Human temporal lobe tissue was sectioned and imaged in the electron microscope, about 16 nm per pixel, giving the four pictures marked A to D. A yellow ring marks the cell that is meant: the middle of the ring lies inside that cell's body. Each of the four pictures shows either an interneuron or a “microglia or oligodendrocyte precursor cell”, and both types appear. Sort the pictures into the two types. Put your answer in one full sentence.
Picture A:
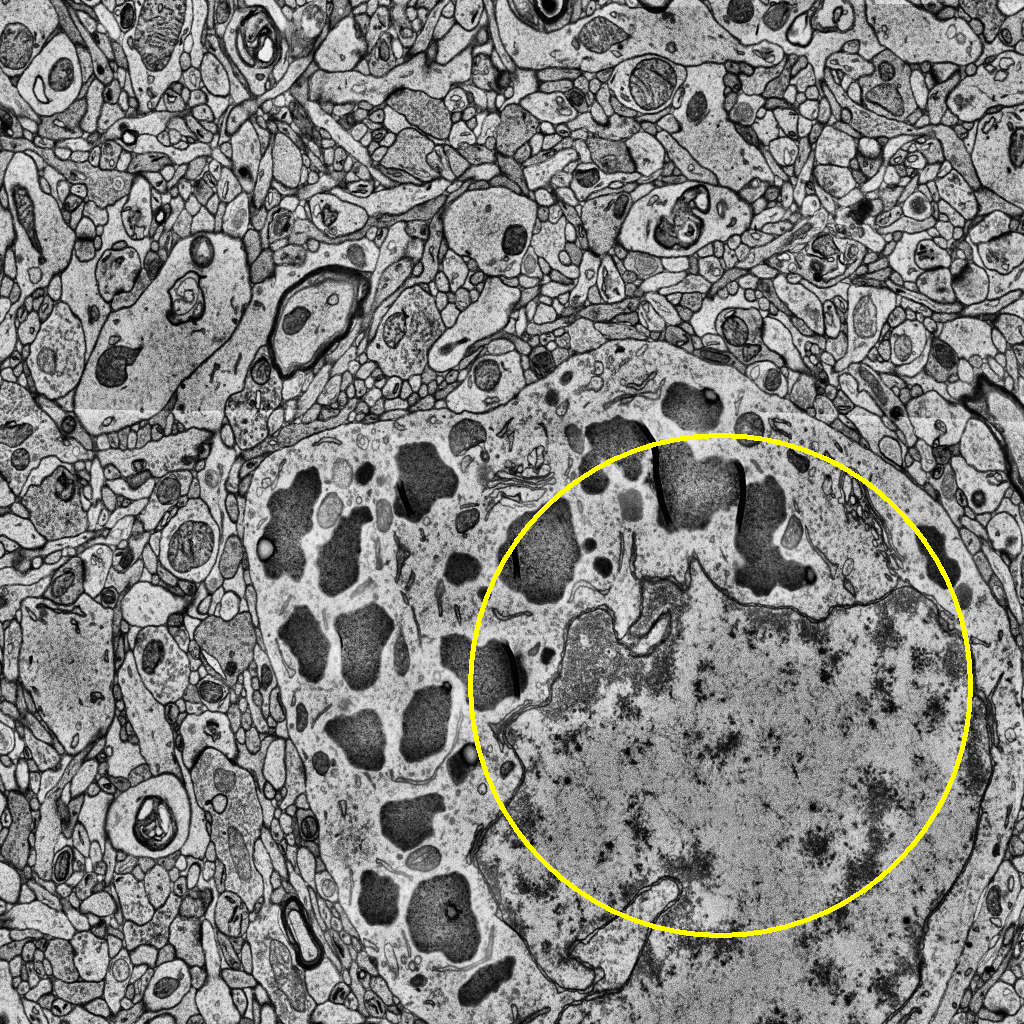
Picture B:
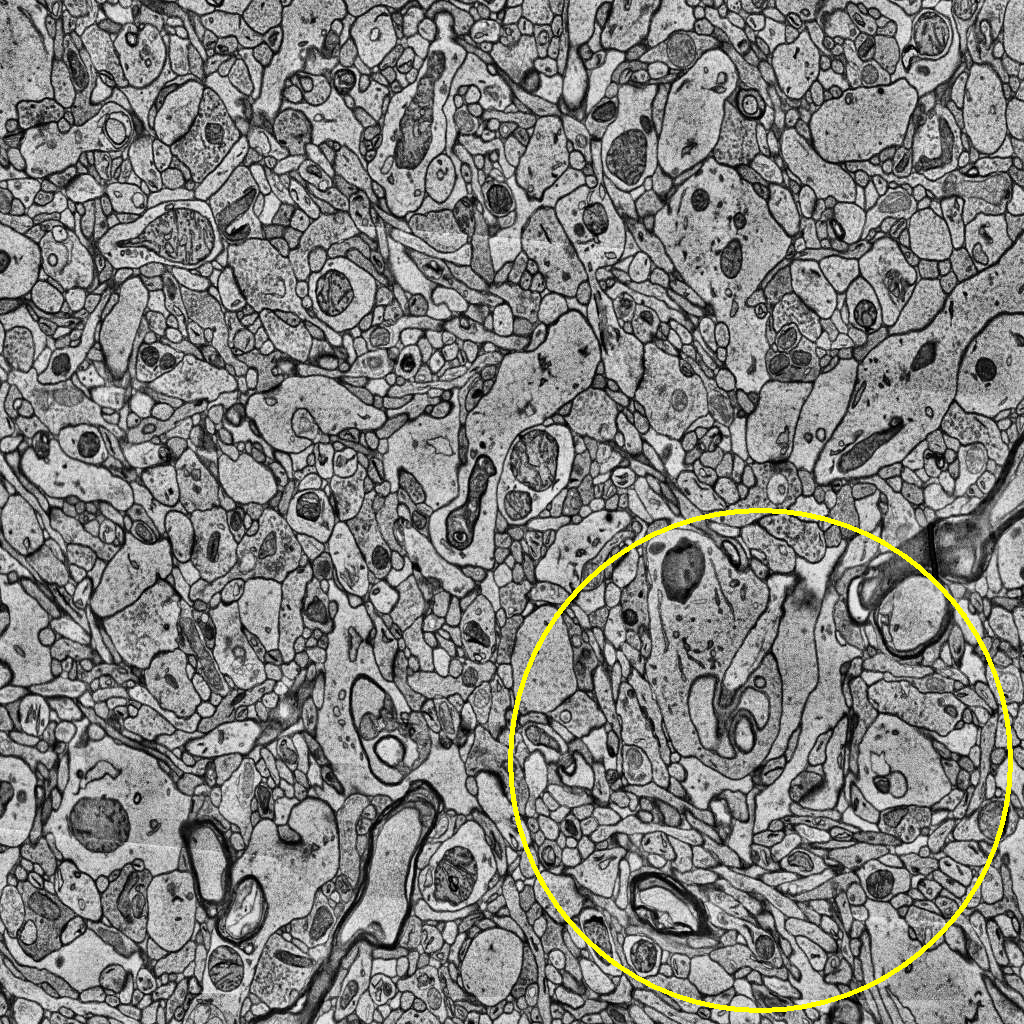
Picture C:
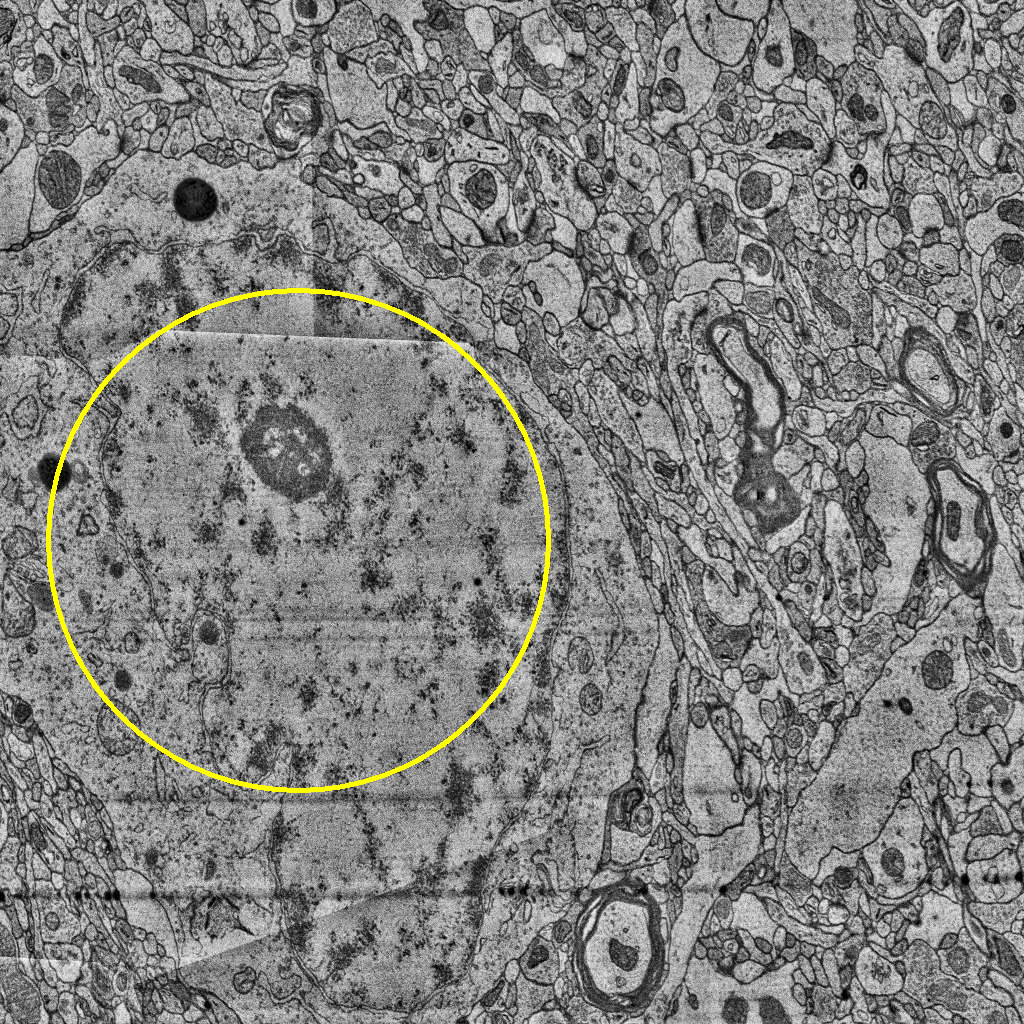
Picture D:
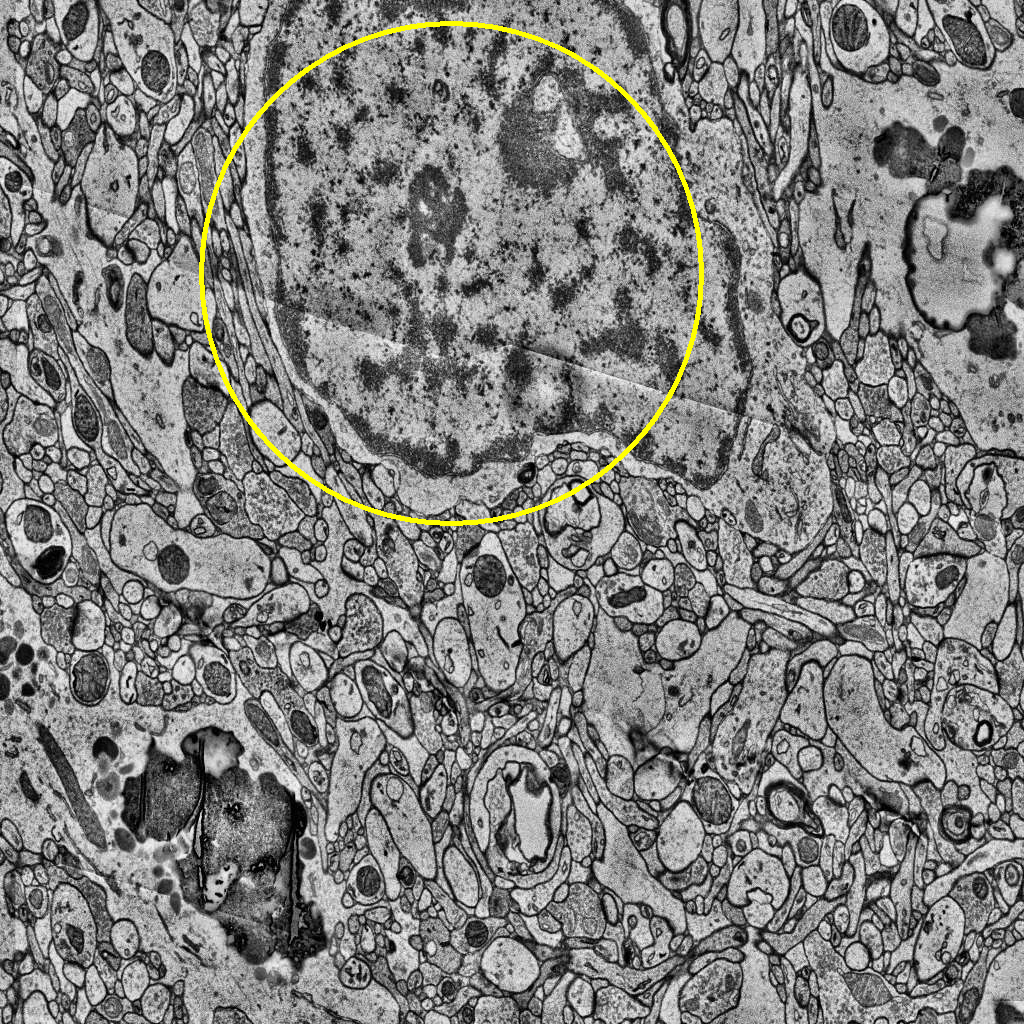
Pictures A and C show interneurons, while pictures B and D show “microglia or oligodendrocyte precursor cells”.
